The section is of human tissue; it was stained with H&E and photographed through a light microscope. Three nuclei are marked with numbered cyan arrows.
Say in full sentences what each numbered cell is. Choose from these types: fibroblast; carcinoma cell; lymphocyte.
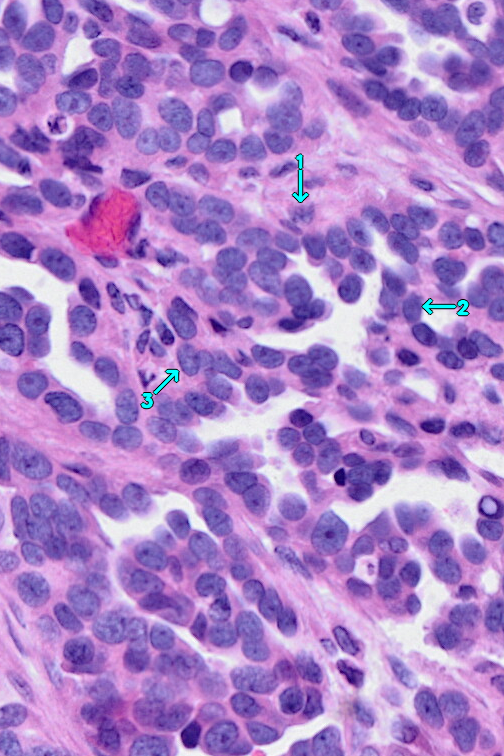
Cell 1 is a fibroblast, cell 2 is a carcinoma cell and cell 3 is a carcinoma cell.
